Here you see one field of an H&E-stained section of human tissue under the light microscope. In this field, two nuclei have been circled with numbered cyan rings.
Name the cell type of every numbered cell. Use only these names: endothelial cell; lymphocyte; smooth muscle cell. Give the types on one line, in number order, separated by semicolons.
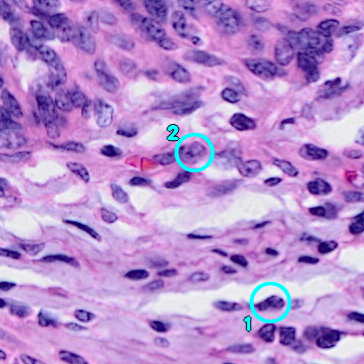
lymphocyte; endothelial cell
